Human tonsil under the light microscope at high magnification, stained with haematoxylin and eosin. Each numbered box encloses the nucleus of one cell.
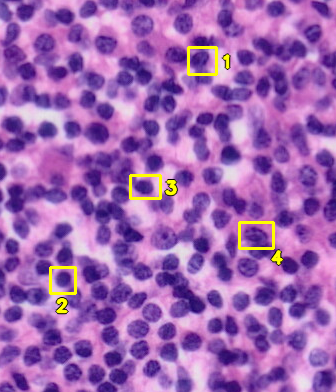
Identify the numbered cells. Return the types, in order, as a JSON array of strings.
["small lymphocyte", "small lymphocyte", "small lymphocyte", "plasma cell"]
